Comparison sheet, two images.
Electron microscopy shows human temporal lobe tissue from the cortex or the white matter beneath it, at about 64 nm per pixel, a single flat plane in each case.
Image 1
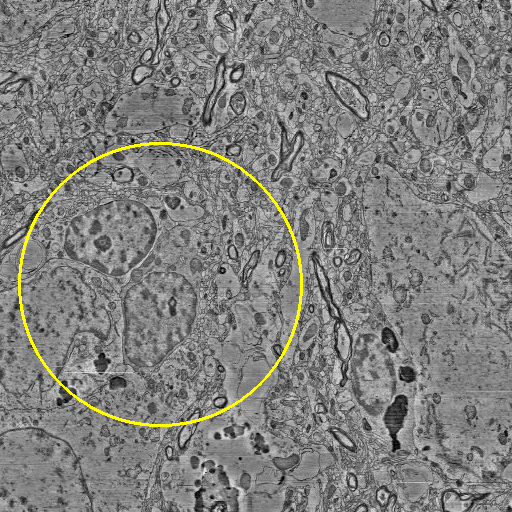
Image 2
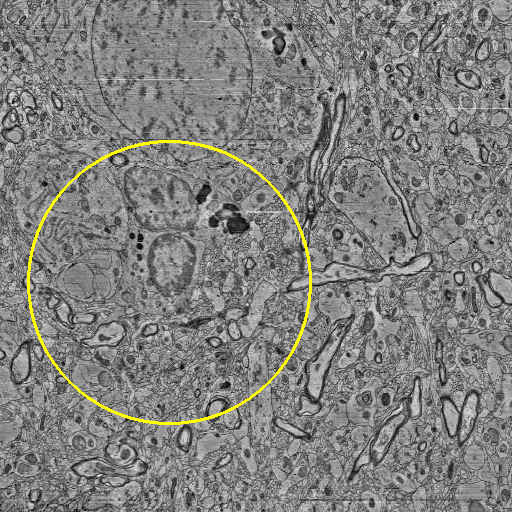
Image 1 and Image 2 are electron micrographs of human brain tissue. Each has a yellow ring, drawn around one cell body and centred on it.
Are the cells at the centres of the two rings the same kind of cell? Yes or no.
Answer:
yes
